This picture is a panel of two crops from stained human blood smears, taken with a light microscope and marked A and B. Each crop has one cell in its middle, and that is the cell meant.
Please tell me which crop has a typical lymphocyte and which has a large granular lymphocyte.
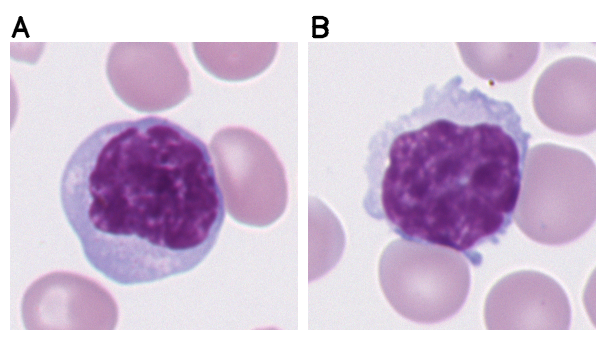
A: large granular lymphocyte
B: typical lymphocyte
